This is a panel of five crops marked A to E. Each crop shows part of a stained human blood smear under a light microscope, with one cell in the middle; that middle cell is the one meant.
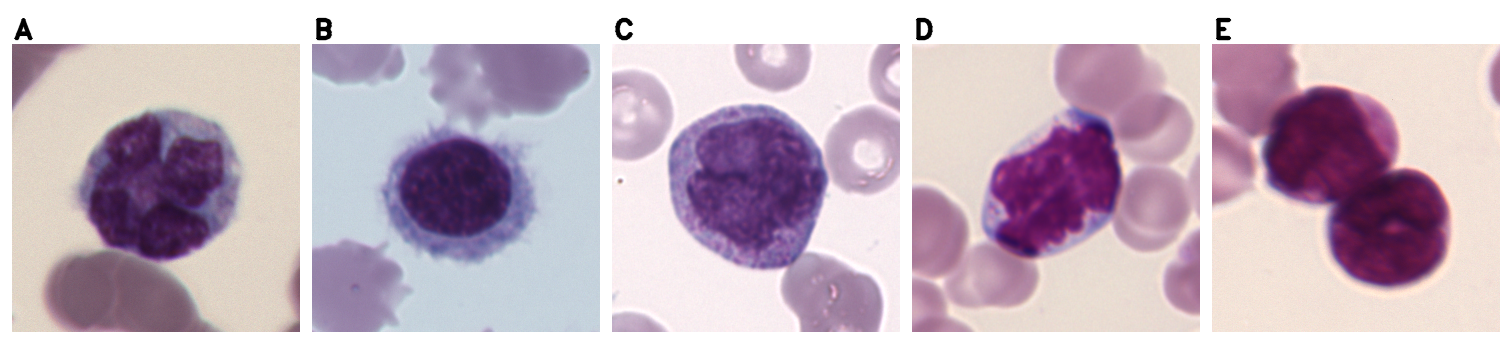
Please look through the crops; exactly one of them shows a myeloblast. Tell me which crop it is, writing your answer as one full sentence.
Crop E is the crop that displays a myeloblast.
